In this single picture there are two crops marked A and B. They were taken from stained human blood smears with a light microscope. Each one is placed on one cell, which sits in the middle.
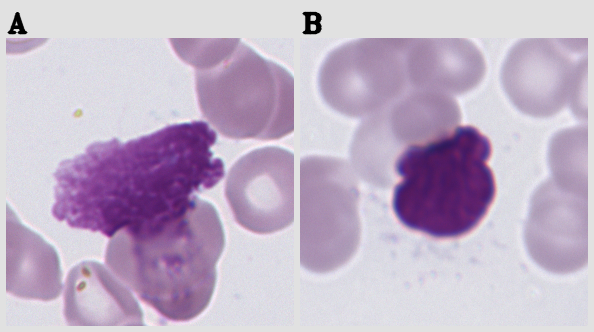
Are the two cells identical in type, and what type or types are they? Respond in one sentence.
Yes, the two central cells, one per crop, are smudge cells.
